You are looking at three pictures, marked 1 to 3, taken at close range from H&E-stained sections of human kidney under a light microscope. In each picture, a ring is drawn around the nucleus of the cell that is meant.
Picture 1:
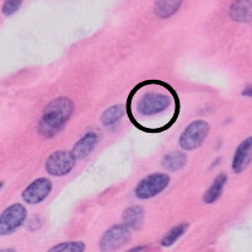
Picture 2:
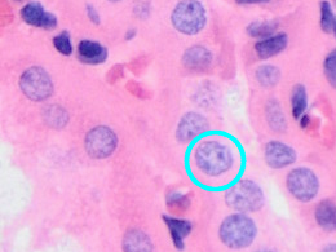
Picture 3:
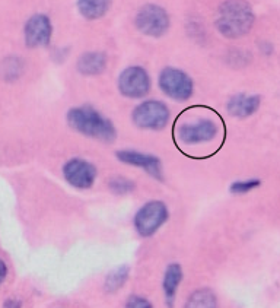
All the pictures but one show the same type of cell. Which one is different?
3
